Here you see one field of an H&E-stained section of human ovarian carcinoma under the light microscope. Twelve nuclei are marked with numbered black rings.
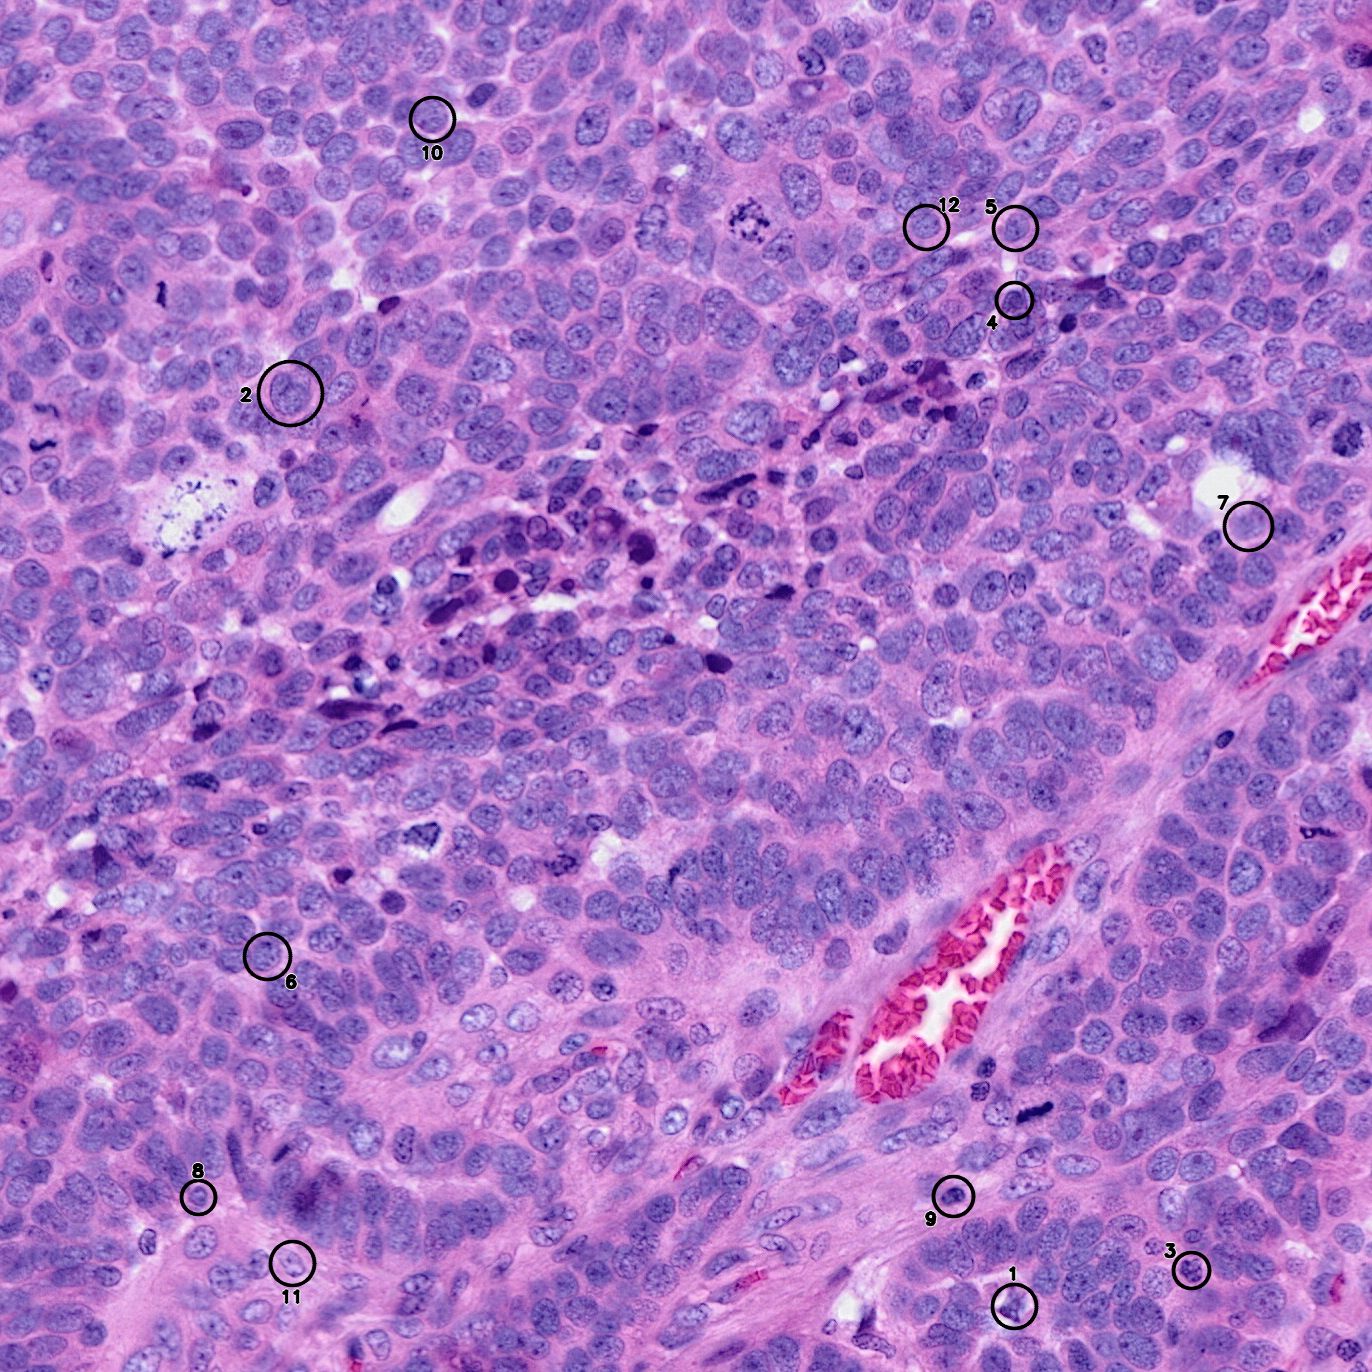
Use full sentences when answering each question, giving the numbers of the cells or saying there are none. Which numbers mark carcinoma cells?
The cells to which the numbers 2, 4, 5, 6, 7, 10 and 12 refer are carcinoma cells.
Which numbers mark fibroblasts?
Whereas cell 11 is a fibroblast, the other numbered cells are not.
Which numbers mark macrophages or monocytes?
The cells 1 and 8 in this section are macrophages or monocytes.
